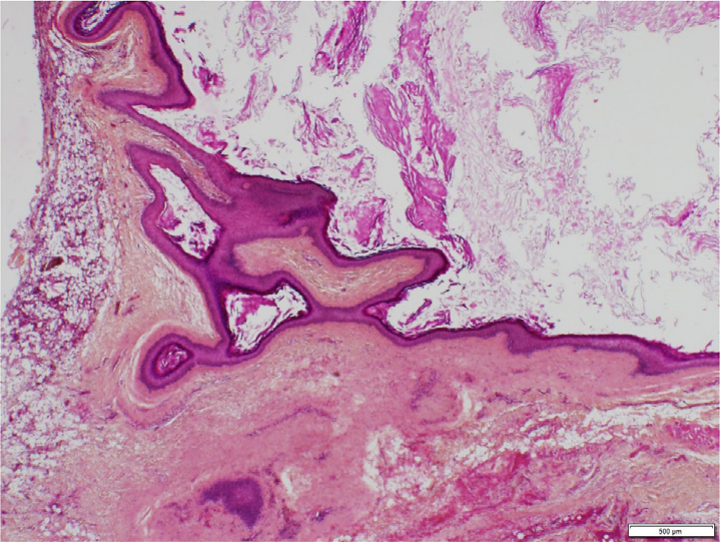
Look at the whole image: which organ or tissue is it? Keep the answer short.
cystic lesion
